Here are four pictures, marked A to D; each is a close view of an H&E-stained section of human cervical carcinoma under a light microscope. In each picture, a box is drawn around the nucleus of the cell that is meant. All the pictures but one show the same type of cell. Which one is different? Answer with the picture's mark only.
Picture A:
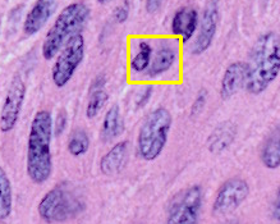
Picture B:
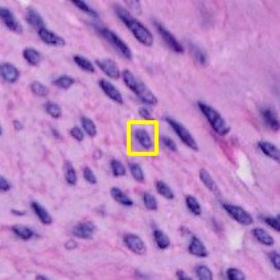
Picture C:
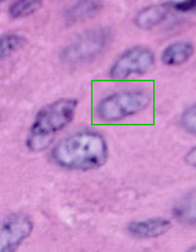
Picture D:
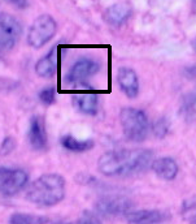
B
